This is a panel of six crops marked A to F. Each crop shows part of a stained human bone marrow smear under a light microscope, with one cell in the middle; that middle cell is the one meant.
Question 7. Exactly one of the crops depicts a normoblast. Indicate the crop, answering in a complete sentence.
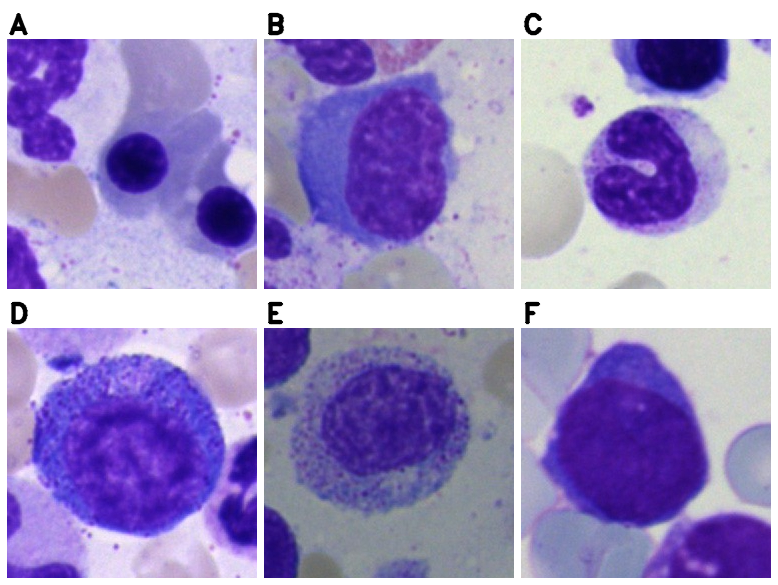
Crop A is the crop containing a normoblast.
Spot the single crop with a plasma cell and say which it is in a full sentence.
Crop B is where a plasma cell is to be found.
